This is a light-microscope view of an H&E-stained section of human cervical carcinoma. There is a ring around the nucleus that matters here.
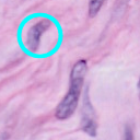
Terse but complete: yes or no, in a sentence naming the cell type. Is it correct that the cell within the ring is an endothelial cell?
No, it is a smooth muscle cell, not an endothelial cell, that the cell within the ring represents.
